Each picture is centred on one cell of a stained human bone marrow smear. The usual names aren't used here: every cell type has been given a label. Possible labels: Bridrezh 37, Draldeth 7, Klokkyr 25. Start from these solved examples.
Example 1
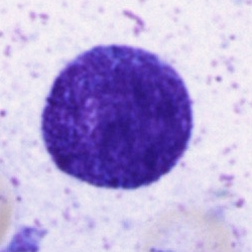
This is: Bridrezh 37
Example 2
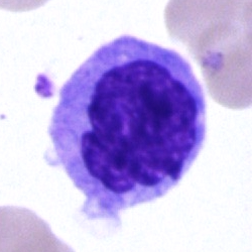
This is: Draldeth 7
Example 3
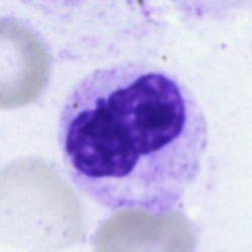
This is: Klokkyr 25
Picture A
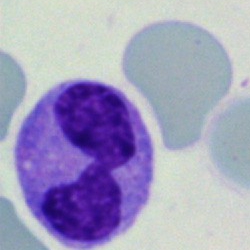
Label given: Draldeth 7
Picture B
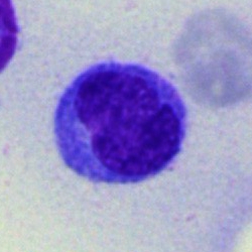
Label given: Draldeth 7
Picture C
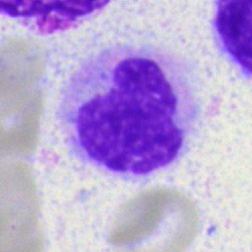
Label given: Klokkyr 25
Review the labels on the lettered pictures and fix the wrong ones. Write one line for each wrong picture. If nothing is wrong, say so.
Nothing to fix; every label fits.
